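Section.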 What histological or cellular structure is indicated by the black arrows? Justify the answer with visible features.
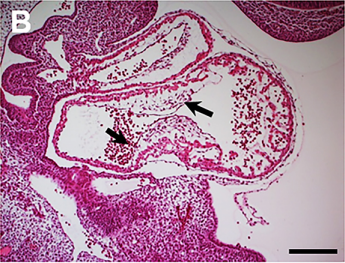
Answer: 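The arrows point to loose, sparsely cellular tissue bulging into the heart lumen.
Hence: endocardial cushions.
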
